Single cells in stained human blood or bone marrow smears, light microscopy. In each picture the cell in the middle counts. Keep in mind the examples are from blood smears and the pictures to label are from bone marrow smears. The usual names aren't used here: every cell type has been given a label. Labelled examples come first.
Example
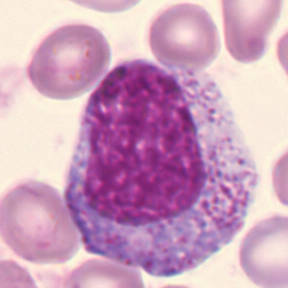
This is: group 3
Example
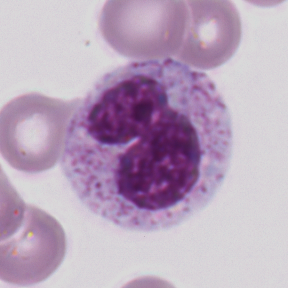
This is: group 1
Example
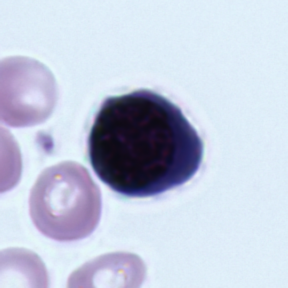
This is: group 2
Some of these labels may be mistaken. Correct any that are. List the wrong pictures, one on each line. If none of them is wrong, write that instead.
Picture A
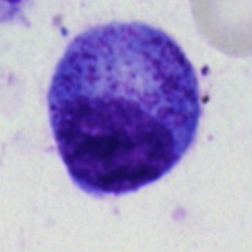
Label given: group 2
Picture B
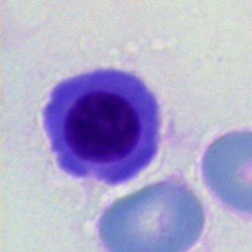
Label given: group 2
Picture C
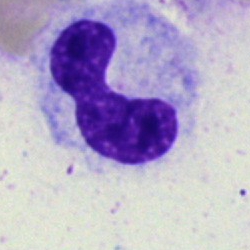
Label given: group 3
A: change group 2 to group 3
C: change group 3 to group 1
